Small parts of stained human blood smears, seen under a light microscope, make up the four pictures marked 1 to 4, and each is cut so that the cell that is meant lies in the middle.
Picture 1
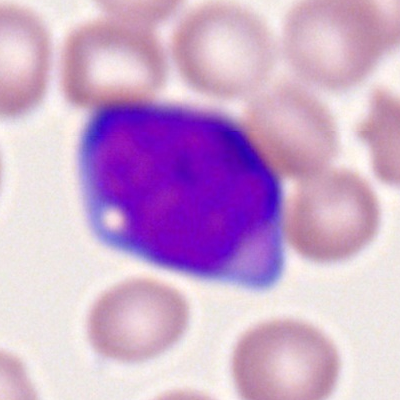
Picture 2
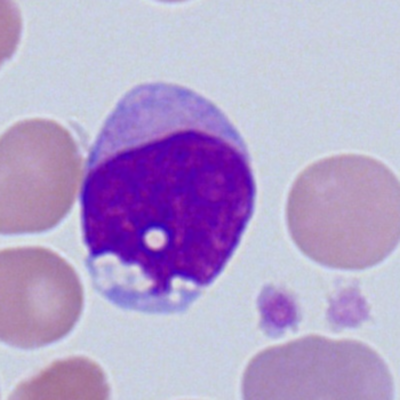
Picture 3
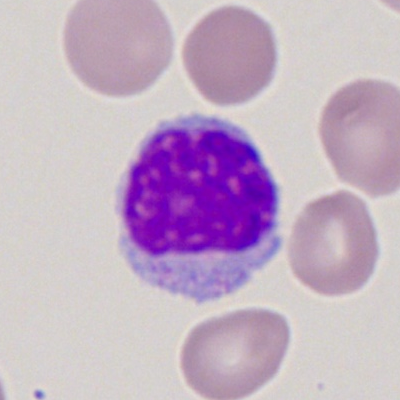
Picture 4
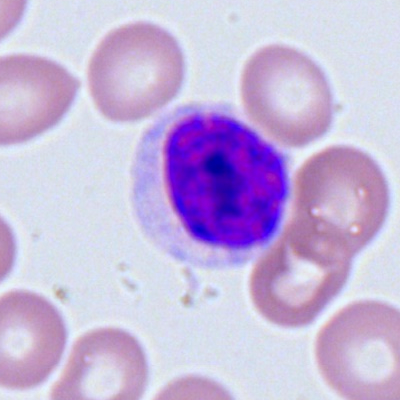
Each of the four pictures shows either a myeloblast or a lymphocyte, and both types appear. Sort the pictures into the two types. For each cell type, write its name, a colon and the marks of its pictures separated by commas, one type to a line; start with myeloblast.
myeloblast: 1, 2
lymphocyte: 3, 4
